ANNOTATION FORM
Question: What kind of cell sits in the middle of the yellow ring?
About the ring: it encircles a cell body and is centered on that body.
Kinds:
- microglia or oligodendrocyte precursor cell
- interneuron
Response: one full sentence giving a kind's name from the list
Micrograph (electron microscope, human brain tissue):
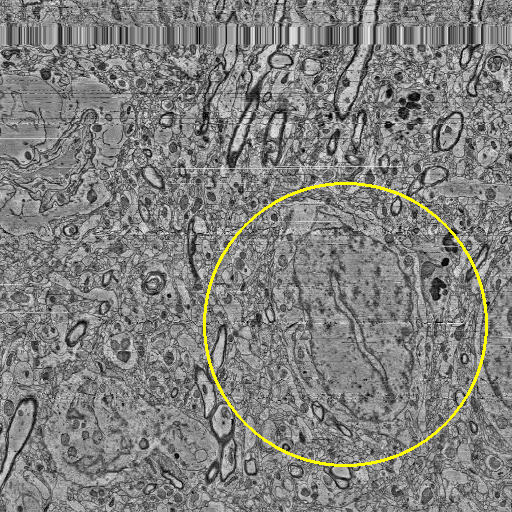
The kind of cell found at the center of the yellow ring in the micrograph is an interneuron.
